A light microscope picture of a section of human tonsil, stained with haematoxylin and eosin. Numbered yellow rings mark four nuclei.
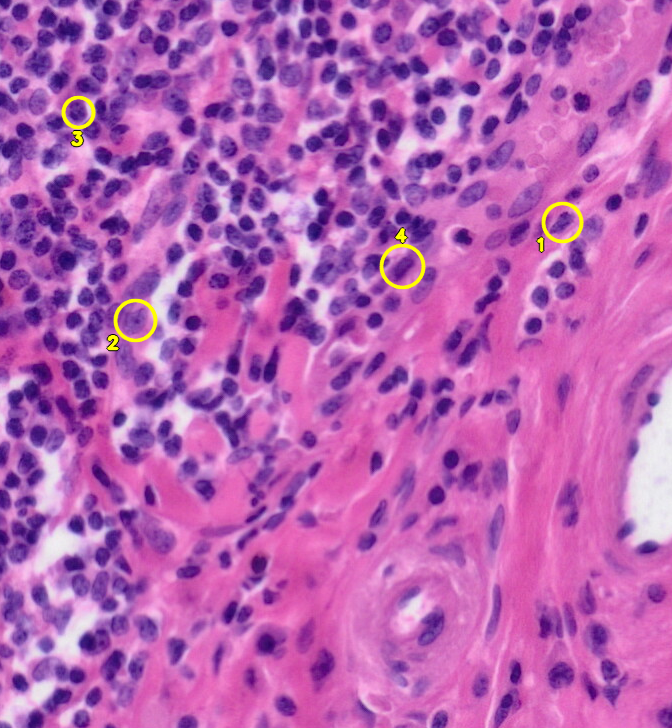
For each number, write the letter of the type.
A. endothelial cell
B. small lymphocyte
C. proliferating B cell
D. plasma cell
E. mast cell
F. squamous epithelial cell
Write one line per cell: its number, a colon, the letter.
1: E
2: A
3: D
4: A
